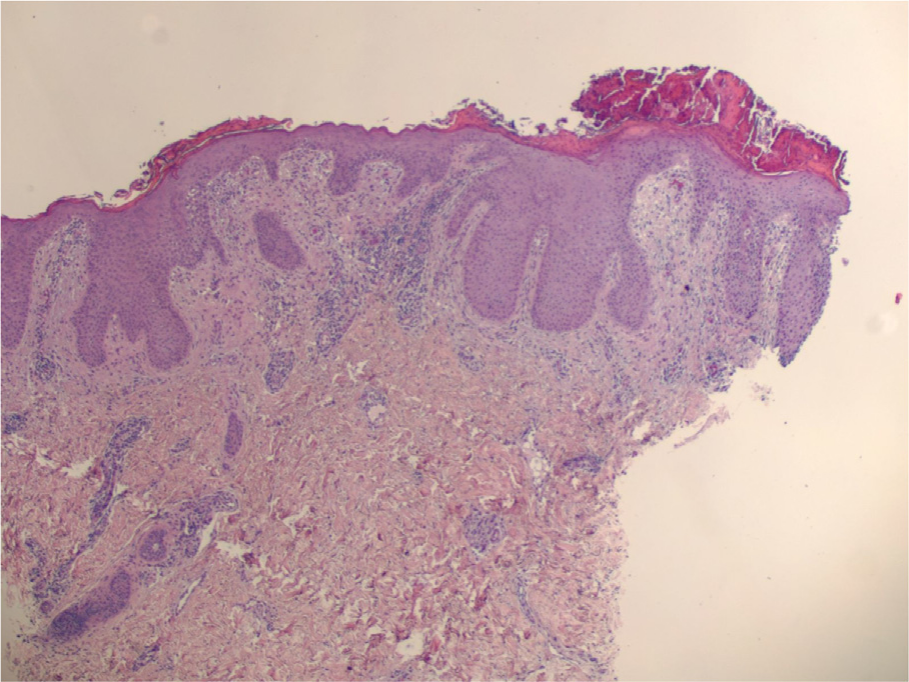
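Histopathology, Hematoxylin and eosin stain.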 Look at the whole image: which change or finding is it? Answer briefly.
Psoriasiform epidermal hyperplasia.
